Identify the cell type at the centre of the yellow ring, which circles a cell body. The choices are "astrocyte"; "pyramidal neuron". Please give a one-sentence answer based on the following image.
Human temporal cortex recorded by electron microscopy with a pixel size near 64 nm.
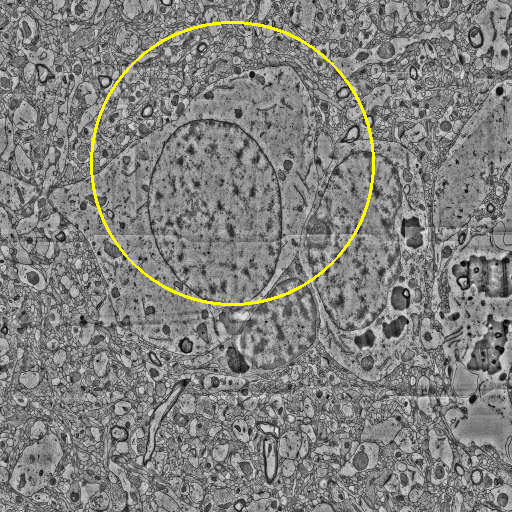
The cell marked by the ring is a pyramidal neuron.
